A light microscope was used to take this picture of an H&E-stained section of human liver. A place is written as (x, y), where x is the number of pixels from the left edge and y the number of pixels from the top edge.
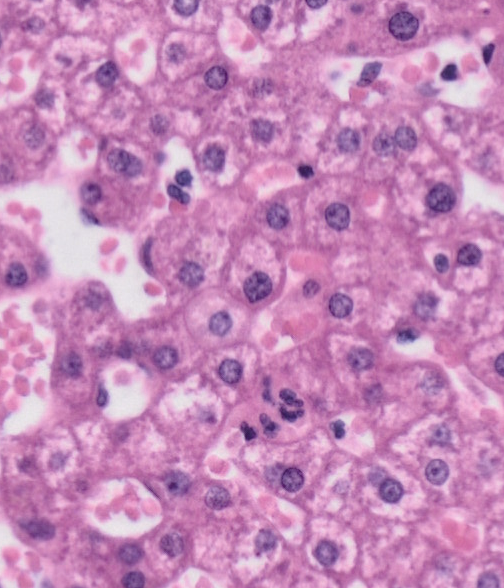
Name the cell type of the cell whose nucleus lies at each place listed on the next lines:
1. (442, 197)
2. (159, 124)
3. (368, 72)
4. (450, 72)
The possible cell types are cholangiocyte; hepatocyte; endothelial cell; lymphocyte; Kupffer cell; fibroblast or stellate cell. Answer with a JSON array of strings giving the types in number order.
["hepatocyte", "hepatocyte", "Kupffer cell", "lymphocyte"]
